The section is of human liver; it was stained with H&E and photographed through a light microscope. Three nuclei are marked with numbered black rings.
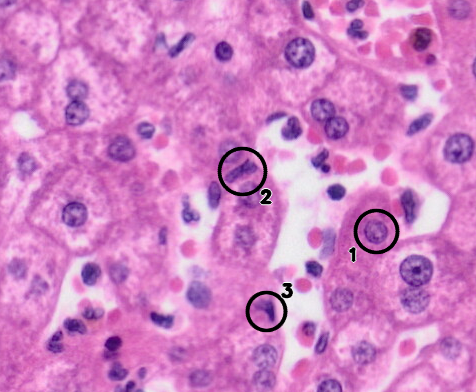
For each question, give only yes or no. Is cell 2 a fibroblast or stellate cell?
yes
